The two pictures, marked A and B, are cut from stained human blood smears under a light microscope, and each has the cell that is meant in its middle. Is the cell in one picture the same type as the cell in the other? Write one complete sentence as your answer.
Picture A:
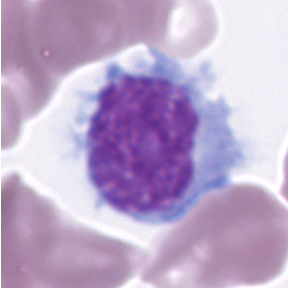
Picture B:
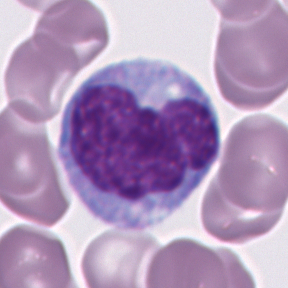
No, the types are not the same, since picture A shows a hairy cell and picture B a monocyte.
